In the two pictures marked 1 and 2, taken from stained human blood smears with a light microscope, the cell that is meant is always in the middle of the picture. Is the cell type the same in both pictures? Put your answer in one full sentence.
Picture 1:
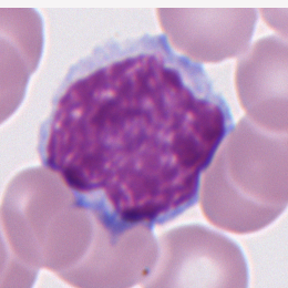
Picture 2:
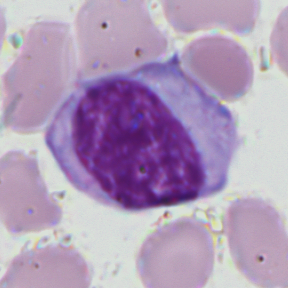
No, they differ: the cell is a typical lymphocyte in picture 1 and a plasma cell in picture 2.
